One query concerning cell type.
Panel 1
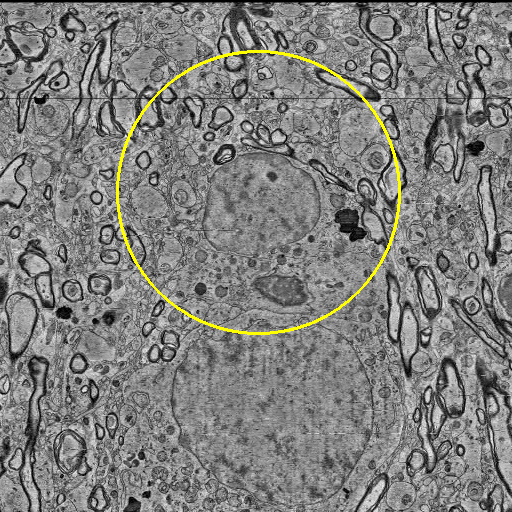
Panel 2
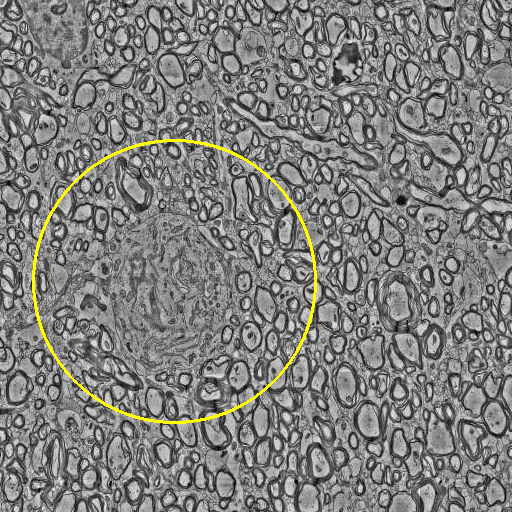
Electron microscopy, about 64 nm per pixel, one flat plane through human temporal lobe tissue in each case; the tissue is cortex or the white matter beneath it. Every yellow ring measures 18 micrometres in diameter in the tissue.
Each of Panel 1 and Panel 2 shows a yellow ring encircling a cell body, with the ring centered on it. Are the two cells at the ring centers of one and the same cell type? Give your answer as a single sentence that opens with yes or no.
No, the cell centered in Panel 1 and the one in Panel 2 are of two types.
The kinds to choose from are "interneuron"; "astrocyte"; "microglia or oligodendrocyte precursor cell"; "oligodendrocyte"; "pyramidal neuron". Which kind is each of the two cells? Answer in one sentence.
Of the two, the first cell is an oligodendrocyte and the second cell is an interneuron.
